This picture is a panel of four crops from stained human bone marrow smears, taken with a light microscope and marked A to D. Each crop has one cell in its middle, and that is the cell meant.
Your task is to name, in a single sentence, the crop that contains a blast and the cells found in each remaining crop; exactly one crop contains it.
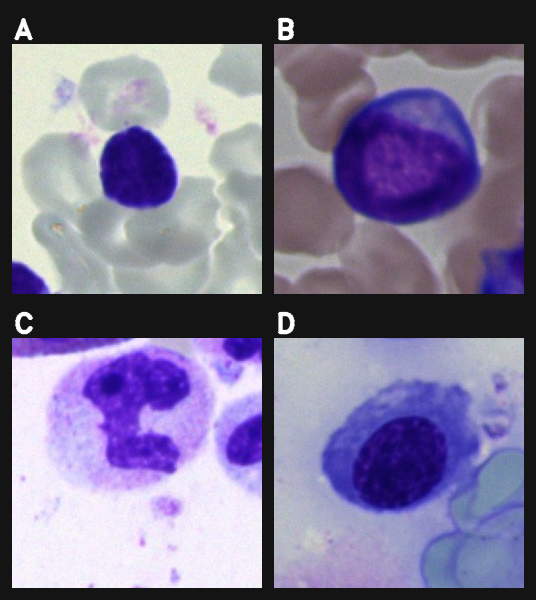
Crop B is classified as a blast, whereas crop A is a lymphocyte, crop C is a neutrophil and crop D is a normoblast.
